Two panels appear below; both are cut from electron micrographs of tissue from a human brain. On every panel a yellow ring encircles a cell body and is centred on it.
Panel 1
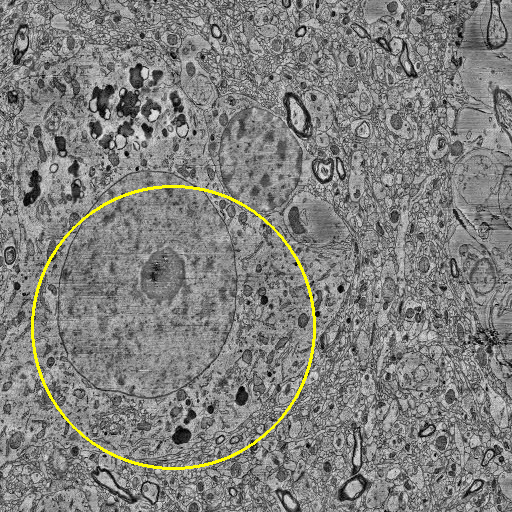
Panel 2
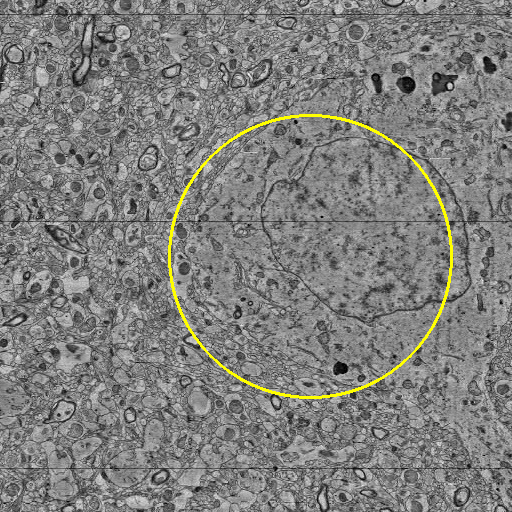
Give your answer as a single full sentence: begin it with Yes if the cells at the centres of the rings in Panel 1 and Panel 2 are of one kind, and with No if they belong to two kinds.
Yes, the cells in the middle of the rings in Panels 1 and 2 are of one kind.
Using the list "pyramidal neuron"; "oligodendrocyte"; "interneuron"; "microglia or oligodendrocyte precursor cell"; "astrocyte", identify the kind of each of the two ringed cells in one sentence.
The cell at the ring centre is a pyramidal neuron in both pictures.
